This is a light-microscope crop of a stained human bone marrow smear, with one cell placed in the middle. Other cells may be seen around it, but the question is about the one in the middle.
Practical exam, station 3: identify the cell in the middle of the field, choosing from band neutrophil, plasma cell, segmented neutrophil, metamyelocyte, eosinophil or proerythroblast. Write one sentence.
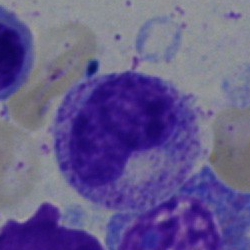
To answer, the cell in the center of the crop is a metamyelocyte.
